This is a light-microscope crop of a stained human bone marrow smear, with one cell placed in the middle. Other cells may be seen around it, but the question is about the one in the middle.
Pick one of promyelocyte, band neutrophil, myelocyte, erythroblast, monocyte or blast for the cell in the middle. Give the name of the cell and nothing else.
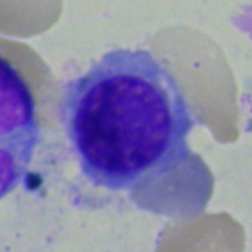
erythroblast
